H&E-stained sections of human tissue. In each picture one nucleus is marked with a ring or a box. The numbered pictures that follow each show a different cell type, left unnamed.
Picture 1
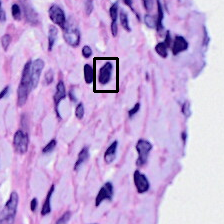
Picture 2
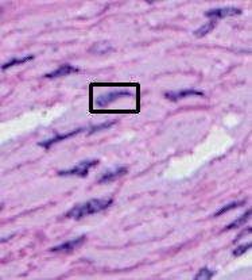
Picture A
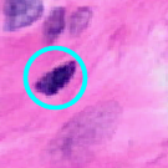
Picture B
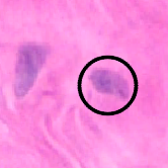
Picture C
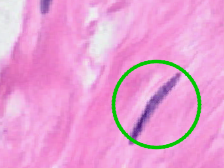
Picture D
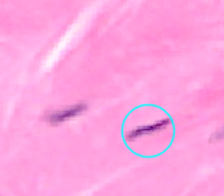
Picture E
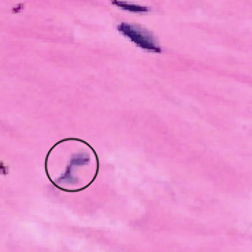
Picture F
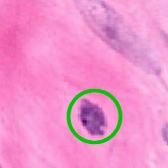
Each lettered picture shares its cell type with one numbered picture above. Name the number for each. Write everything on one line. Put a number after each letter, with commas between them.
A 1, B 2, C 2, D 2, E 2, F 1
